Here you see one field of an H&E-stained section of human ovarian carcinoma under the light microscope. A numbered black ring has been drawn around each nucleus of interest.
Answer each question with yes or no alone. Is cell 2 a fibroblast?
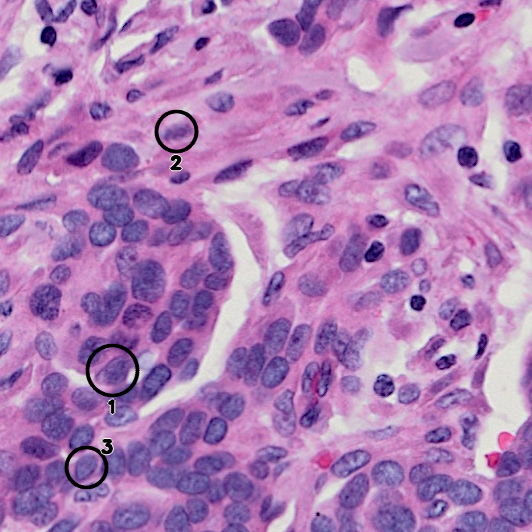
yes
